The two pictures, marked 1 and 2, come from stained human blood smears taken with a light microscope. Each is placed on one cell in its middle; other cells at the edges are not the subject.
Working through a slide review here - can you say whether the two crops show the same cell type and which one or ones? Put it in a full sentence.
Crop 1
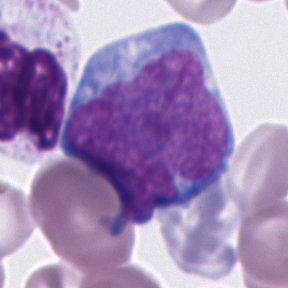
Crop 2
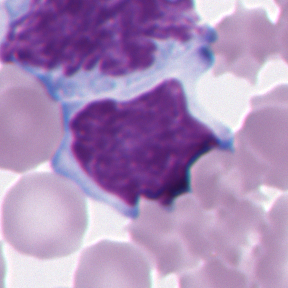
No, crop 1 is the one with a myeloblast; crop 2 has a typical lymphocyte.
